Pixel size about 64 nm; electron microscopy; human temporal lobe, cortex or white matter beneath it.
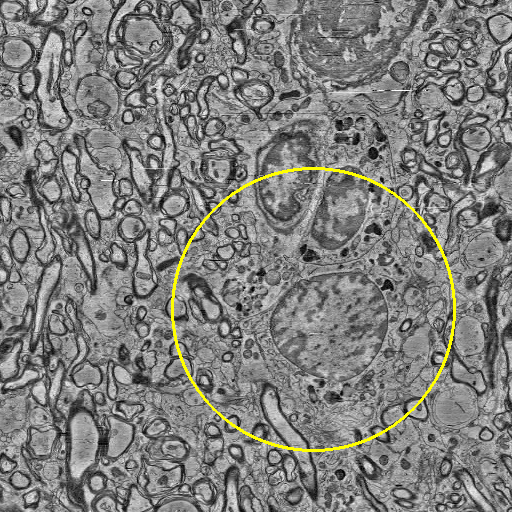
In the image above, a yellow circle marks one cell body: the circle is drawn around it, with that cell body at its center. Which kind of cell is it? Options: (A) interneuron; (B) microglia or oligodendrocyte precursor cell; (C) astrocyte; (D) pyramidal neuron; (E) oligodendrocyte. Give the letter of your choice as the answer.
B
